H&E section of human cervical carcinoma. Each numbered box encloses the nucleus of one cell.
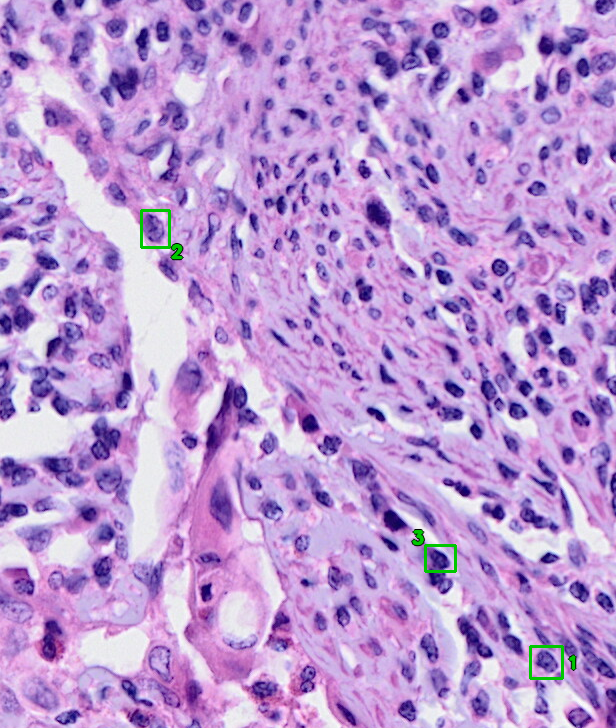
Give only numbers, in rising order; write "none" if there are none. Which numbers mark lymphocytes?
1, 3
